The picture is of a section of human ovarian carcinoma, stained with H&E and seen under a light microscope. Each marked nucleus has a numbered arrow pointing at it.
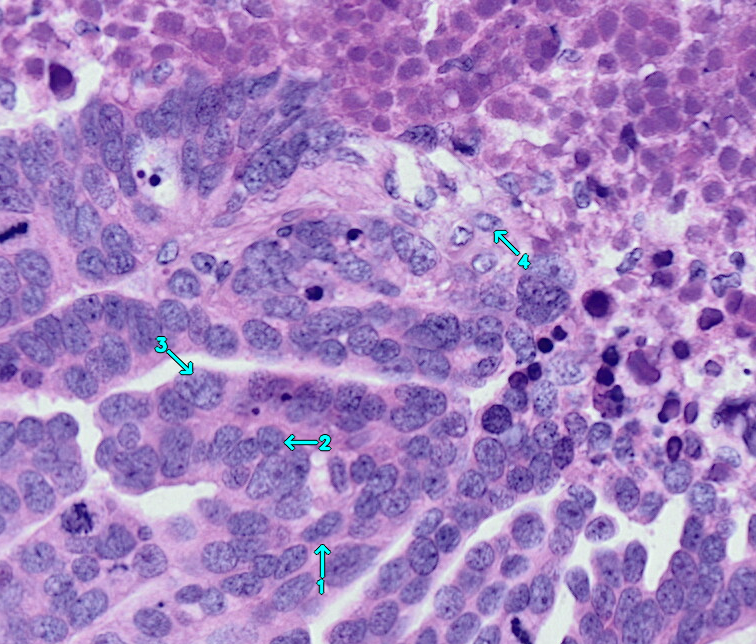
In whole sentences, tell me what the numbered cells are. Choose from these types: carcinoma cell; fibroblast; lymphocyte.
Cell 1 is a carcinoma cell, cell 2 is a carcinoma cell, cell 3 is a carcinoma cell and cell 4 is a fibroblast.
